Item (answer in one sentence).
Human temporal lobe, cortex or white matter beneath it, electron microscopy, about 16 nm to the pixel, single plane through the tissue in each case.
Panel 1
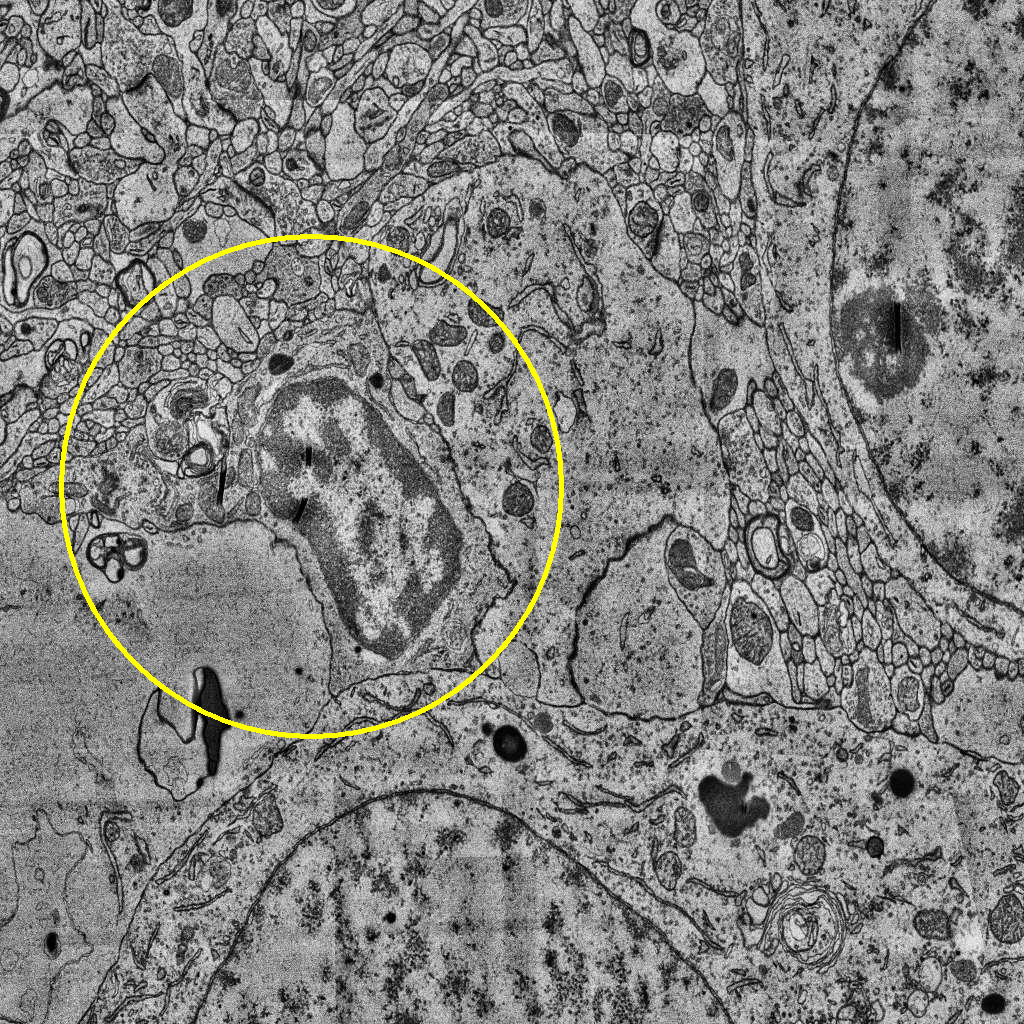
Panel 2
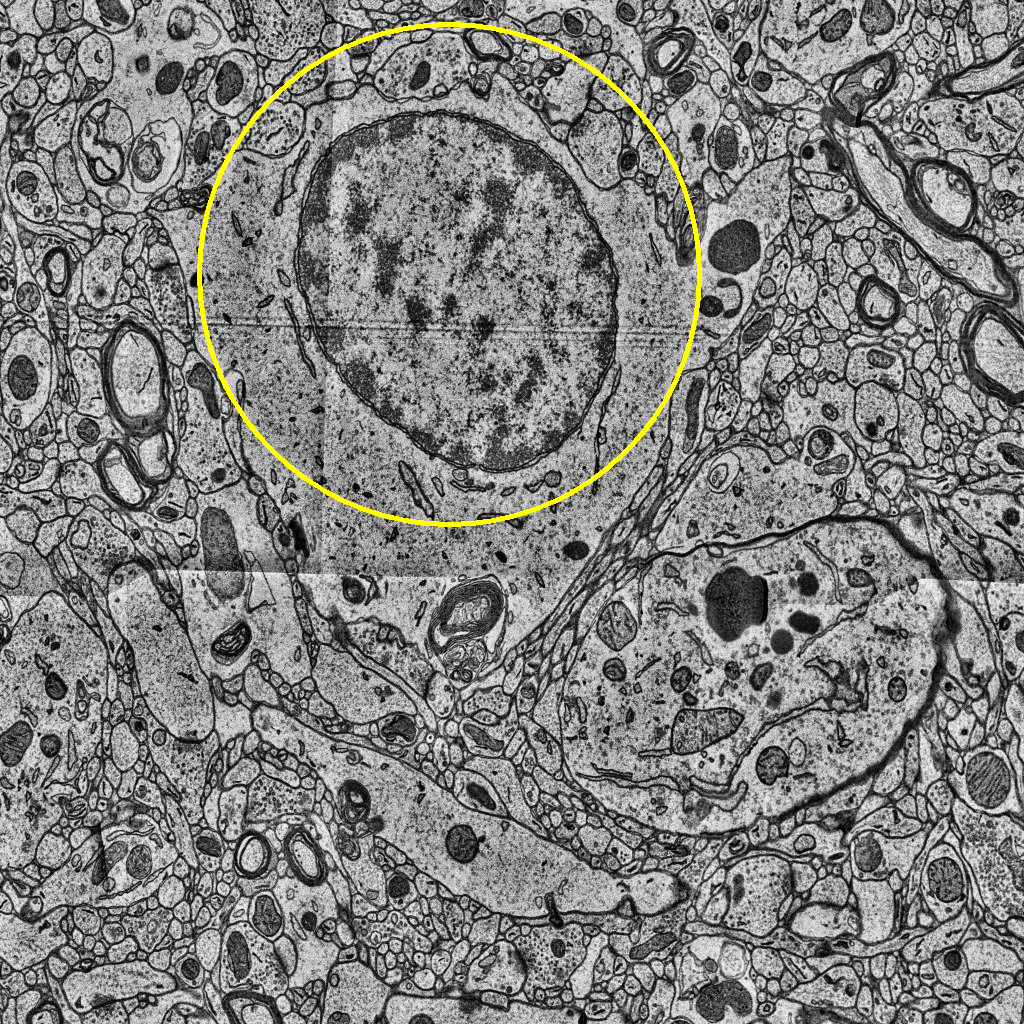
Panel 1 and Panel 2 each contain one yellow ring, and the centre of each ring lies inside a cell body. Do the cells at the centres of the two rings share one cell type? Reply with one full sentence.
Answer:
Yes, Panel 1 and Panel 2 show cells of one type at the centres of their rings.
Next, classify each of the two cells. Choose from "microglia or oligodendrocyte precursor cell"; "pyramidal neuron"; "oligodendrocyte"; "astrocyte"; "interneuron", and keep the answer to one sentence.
Each of the two rings surrounds a microglial cell or oligodendrocyte precursor cell.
